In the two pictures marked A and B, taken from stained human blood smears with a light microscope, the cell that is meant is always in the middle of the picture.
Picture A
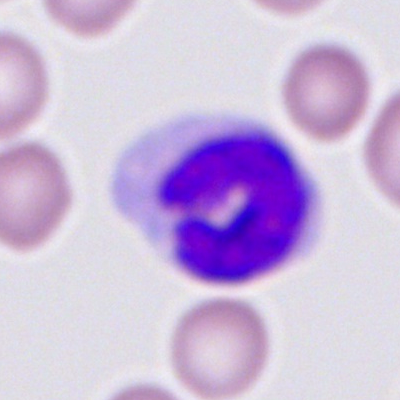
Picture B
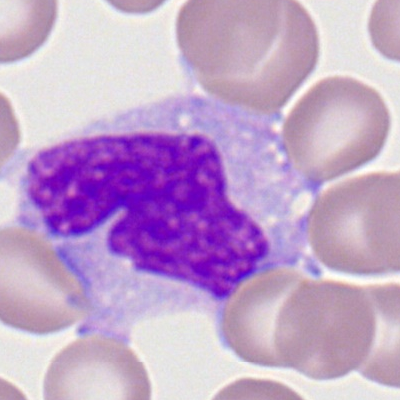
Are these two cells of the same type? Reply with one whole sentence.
Yes; the cells in both pictures are monocytes.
